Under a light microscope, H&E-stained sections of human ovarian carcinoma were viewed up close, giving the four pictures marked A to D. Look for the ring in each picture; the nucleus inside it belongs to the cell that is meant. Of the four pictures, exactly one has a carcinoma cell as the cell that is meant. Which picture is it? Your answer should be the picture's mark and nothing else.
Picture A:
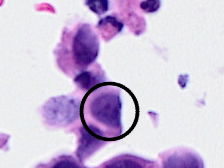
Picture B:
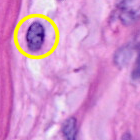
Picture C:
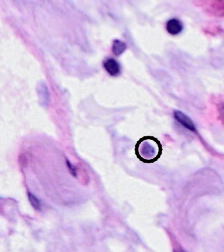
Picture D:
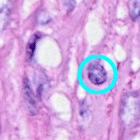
A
